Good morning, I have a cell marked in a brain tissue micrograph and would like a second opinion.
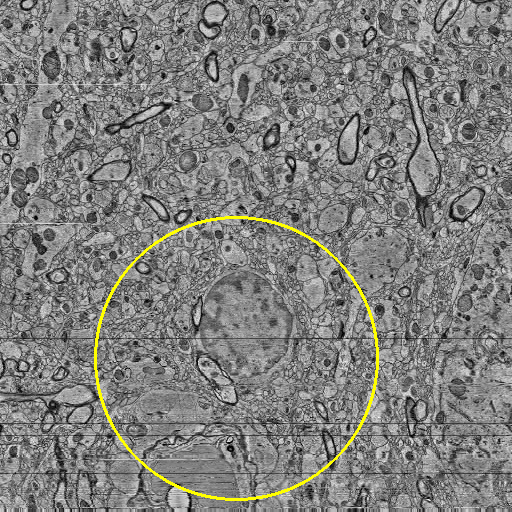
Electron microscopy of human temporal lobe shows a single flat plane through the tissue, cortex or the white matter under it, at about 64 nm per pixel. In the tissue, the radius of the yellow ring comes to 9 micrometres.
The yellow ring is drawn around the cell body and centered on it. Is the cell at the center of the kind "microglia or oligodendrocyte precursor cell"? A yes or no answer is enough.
no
